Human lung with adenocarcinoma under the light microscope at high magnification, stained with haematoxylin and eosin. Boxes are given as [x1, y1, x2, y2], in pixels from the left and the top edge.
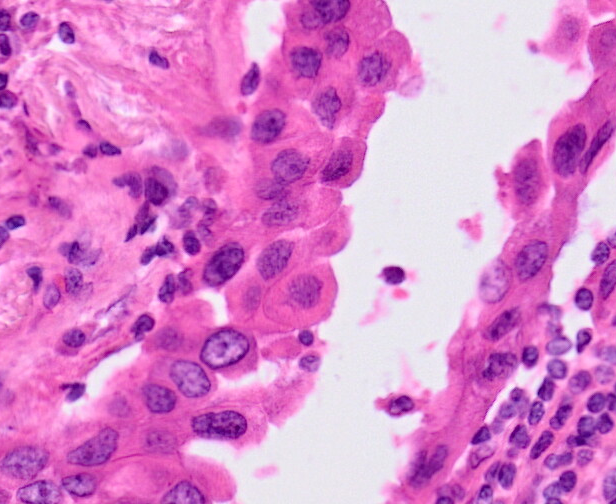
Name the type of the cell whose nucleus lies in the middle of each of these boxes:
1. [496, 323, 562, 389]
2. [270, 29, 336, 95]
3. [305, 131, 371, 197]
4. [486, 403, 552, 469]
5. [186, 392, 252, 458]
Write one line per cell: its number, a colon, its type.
1: lymphocyte
2: carcinoma cell
3: carcinoma cell
4: lymphocyte
5: carcinoma cell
